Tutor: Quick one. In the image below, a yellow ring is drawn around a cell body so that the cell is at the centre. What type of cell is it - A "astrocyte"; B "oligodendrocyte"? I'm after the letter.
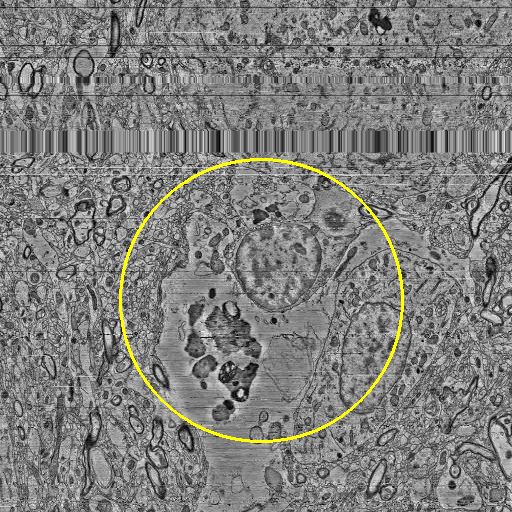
B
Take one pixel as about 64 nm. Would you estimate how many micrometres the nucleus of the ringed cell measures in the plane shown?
The nucleus of the ringed cell is approximately 5 micrometres across in this plane.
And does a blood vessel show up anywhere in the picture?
Yes.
